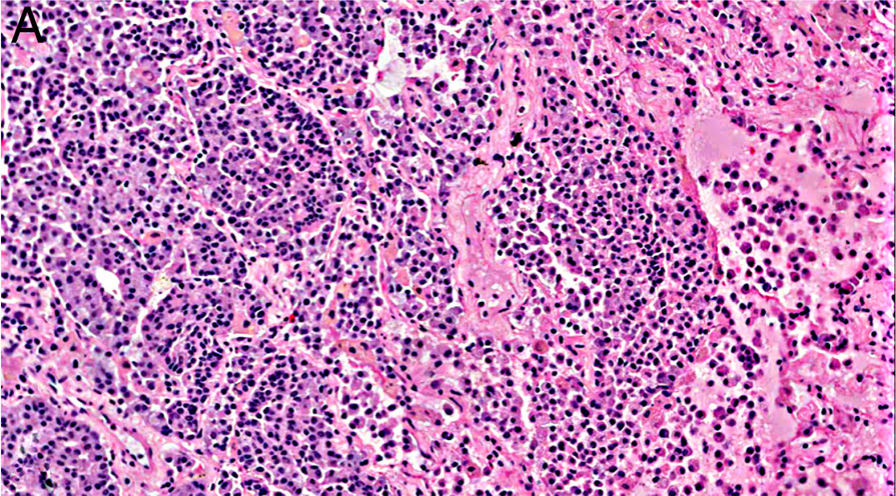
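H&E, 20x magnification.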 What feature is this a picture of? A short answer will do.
Solid nested growth pattern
